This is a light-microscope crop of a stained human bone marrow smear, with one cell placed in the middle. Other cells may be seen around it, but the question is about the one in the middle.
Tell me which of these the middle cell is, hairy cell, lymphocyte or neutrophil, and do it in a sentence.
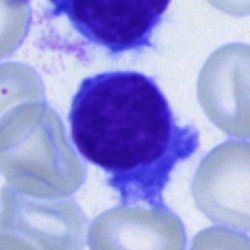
The cell nearest the centre of this crop is a lymphocyte.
